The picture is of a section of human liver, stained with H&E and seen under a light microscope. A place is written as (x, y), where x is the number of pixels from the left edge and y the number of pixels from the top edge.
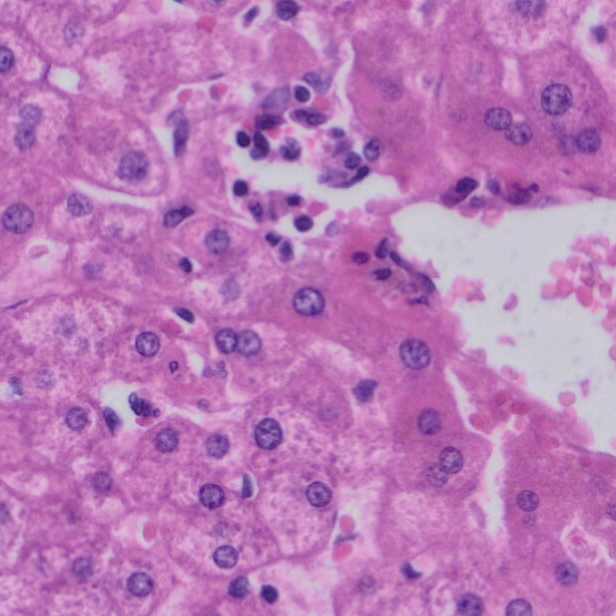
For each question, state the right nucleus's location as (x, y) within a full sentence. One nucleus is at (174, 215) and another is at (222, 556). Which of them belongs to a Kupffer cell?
Of the two nuclei present, the one at (174, 215) is within a Kupffer cell.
